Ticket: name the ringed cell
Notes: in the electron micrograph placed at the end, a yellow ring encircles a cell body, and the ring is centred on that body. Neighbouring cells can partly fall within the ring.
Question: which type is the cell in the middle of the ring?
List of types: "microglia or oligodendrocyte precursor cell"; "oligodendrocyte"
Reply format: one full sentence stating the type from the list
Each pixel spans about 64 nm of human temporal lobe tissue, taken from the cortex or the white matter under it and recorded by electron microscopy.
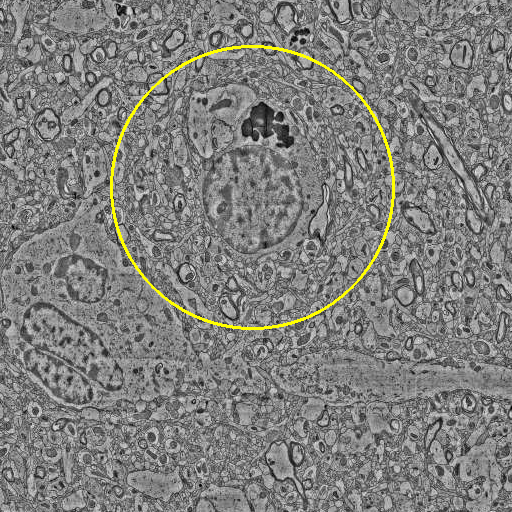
The cell sitting at the centre of the yellow ring is an oligodendrocyte.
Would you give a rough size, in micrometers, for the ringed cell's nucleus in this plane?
The nucleus is approximately 7 micrometers across in this plane.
